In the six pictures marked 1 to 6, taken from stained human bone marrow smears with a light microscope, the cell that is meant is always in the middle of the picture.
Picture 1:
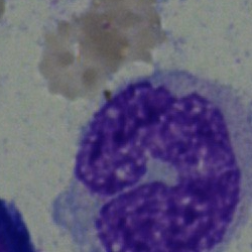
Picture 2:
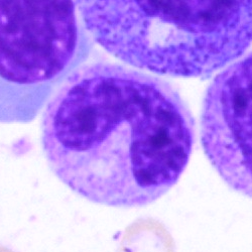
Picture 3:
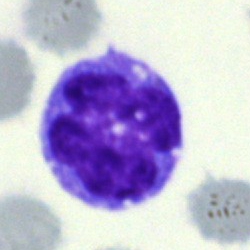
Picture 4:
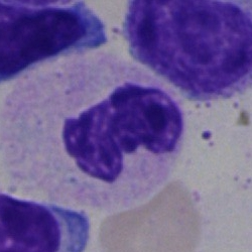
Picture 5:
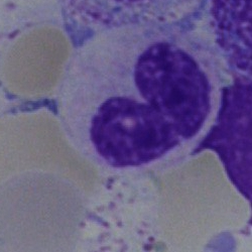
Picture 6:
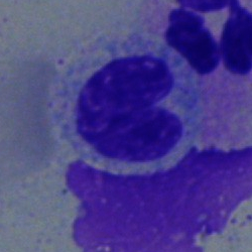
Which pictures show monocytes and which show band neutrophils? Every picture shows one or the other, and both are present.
1: monocyte
2: band neutrophil
3: monocyte
4: band neutrophil
5: band neutrophil
6: band neutrophil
